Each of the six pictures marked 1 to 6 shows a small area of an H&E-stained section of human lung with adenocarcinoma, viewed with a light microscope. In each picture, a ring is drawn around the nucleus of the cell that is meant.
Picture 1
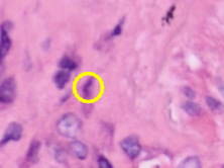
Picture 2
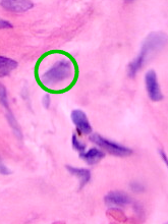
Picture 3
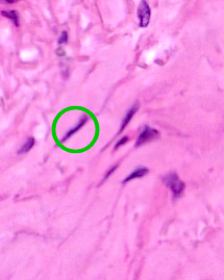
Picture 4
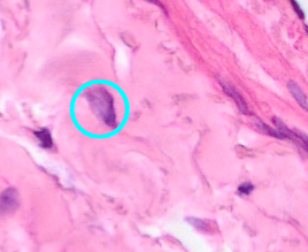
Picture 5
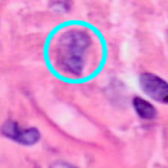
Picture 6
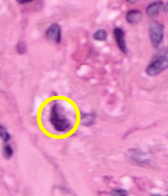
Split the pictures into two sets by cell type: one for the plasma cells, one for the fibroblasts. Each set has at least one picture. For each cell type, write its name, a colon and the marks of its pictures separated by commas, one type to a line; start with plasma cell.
plasma cell: 1, 6
fibroblast: 2, 3, 4, 5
